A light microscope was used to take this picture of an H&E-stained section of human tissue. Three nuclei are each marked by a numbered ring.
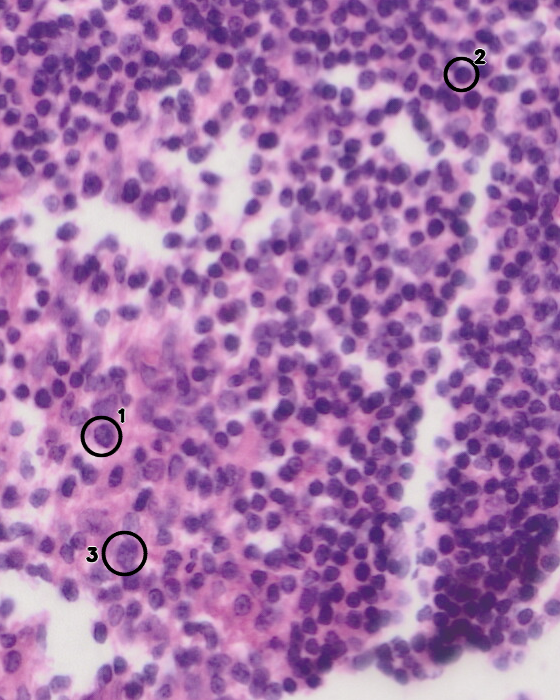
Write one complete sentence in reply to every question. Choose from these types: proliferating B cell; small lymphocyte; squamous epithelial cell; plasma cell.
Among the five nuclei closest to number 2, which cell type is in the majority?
Small lymphocytes account for more than half of the five nuclei nearest to number 2.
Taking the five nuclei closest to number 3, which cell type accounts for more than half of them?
Most of the five nuclei nearest to number 3 are those of proliferating B cells.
